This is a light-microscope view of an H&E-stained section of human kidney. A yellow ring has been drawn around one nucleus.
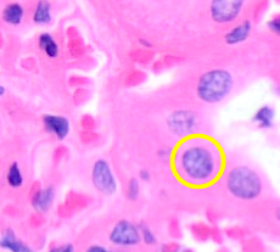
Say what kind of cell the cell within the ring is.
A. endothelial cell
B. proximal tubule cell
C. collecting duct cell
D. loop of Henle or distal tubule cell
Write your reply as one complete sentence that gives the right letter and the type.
In this case the cell within the ring is a loop of Henle or distal tubule cell, so option D is correct.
